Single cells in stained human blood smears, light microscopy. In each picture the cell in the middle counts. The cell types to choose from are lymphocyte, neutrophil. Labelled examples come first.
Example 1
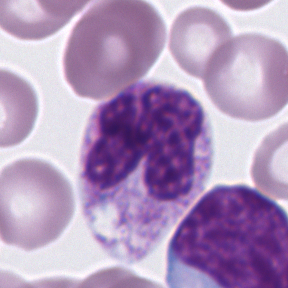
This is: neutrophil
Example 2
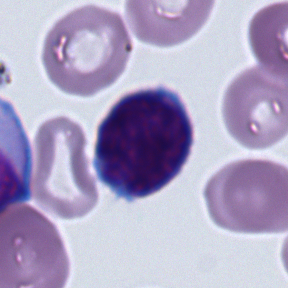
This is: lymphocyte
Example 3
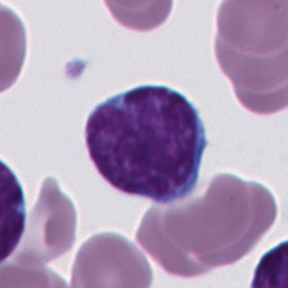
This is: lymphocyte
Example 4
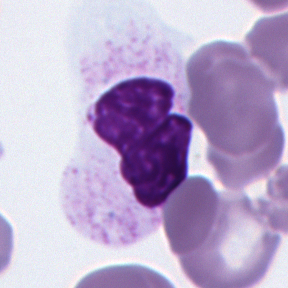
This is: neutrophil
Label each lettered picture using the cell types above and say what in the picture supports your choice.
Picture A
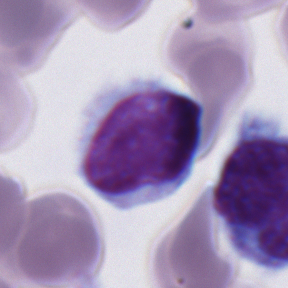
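Answer: lymphocyte. The nucleus fills most of the cell.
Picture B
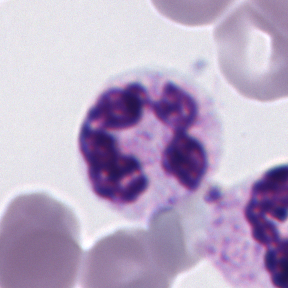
Answer: neutrophil. The cytoplasm is pale and only faintly pinkish.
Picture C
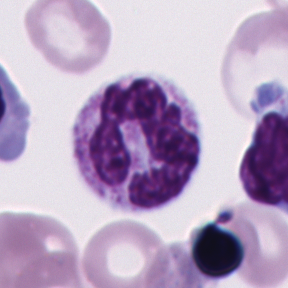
Answer: neutrophil. The nucleus is divided into several lobes arranged in a ring around a pale central space.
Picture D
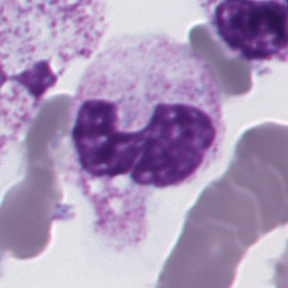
Answer: neutrophil. The cytoplasm is plentiful and very pale, almost colourless between the granules.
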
